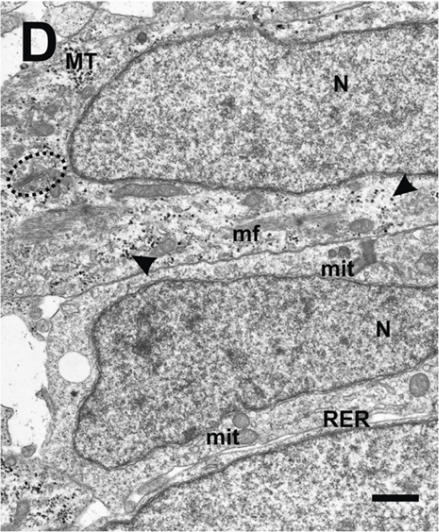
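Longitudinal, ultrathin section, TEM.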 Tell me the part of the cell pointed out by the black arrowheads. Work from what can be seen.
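The arrowheads point at clusters of small electron-dense dots in the cytoplasm. The dots lie between the elongated nuclei. So: glycogen granules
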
